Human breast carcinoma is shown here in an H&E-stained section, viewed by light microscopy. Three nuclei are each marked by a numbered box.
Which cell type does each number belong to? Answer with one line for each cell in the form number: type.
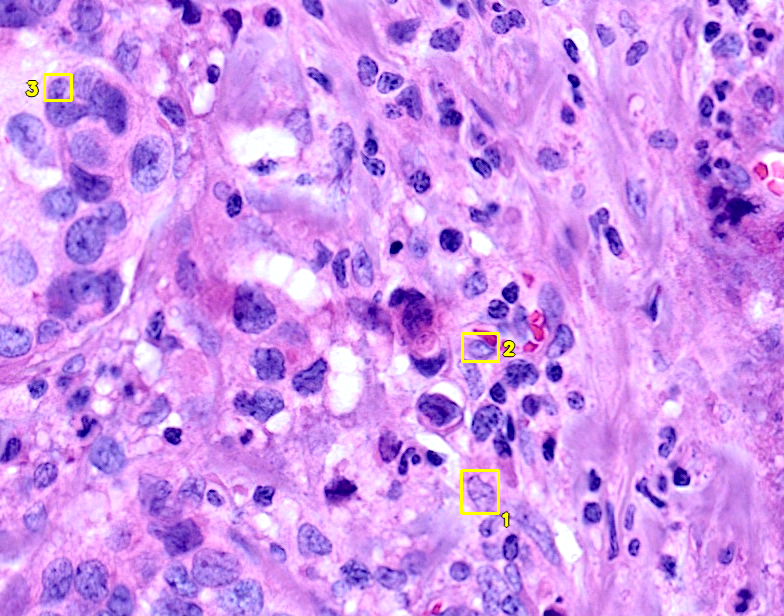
1: macrophage, monocyte or dendritic cell
2: endothelial cell
3: carcinoma cell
